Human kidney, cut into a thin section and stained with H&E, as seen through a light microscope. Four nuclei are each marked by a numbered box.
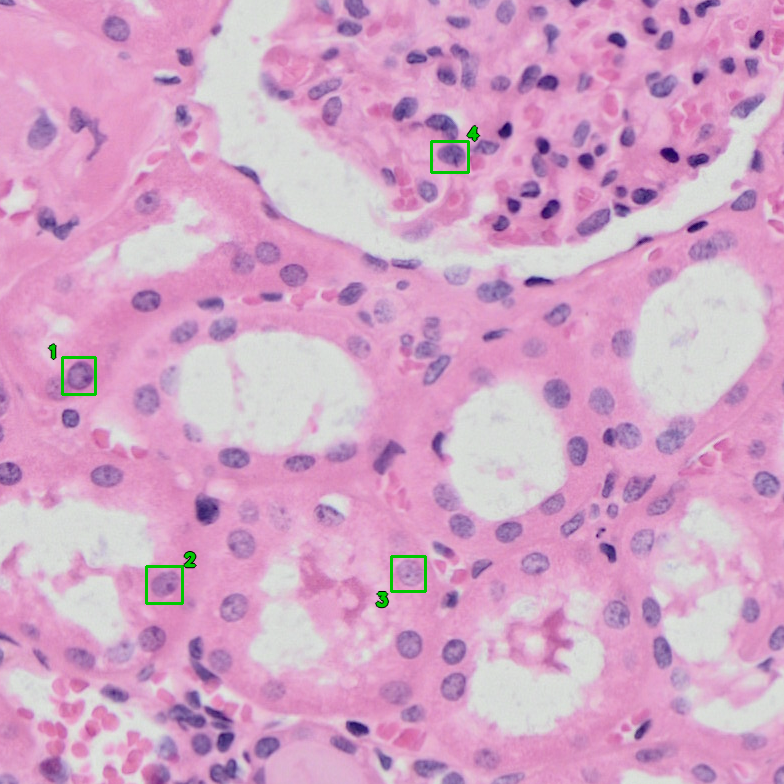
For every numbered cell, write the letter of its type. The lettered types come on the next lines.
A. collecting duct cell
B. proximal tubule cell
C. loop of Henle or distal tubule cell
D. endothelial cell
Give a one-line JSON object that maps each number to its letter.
{"1": "B", "2": "B", "3": "B", "4": "D"}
